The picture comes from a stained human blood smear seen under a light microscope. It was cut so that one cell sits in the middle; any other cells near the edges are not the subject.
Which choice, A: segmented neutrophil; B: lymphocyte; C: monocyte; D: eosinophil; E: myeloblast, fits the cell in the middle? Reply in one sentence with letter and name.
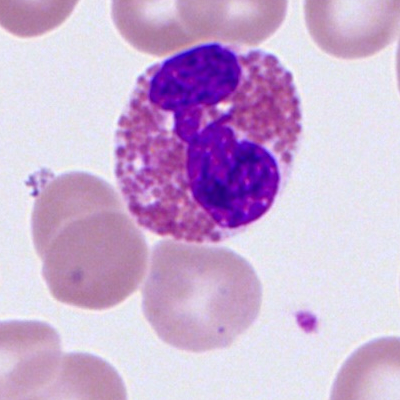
In this crop the middle cell is an eosinophil, so option D is the correct answer.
